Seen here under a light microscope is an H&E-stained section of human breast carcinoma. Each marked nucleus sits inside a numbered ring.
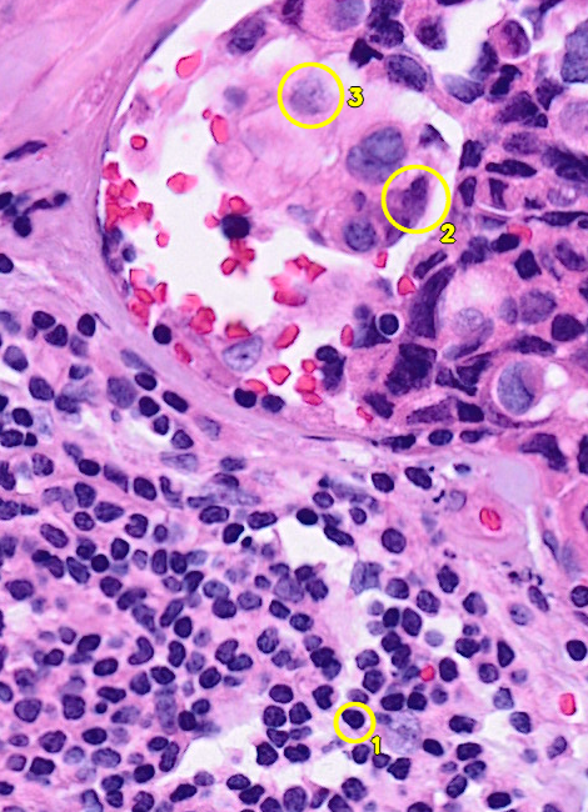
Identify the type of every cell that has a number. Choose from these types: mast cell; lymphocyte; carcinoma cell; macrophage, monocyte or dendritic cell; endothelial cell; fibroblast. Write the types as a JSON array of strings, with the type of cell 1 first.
["lymphocyte", "carcinoma cell", "carcinoma cell"]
